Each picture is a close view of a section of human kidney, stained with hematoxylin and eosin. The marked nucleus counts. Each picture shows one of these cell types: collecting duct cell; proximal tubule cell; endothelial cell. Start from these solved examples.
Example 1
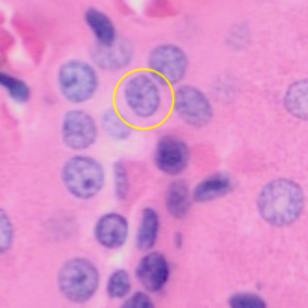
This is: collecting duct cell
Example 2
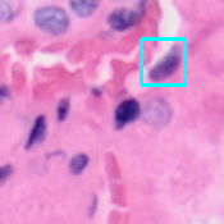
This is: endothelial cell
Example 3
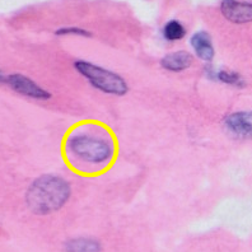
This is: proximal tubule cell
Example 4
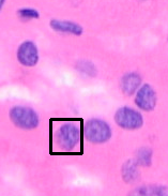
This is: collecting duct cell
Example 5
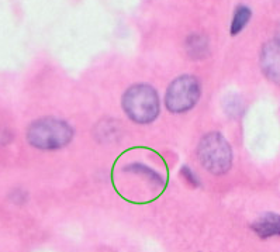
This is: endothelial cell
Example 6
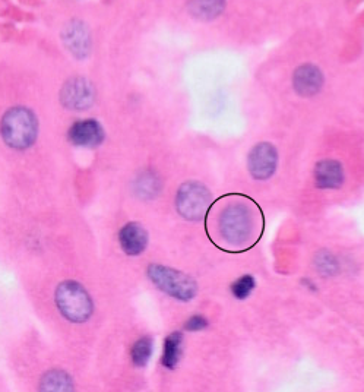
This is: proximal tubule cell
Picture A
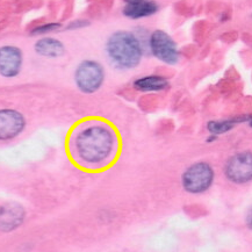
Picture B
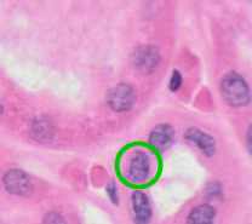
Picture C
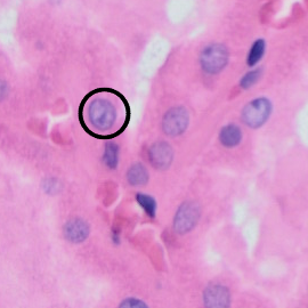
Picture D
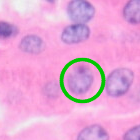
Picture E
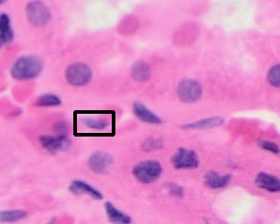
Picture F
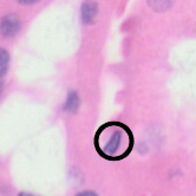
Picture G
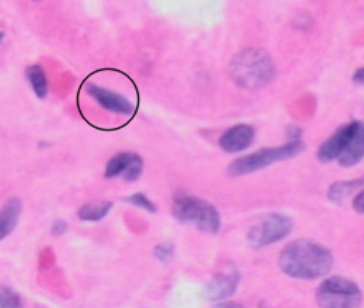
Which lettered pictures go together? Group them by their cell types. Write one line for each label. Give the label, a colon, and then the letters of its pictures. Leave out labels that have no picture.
collecting duct cell: B
proximal tubule cell: A, C, D
endothelial cell: E, F, G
